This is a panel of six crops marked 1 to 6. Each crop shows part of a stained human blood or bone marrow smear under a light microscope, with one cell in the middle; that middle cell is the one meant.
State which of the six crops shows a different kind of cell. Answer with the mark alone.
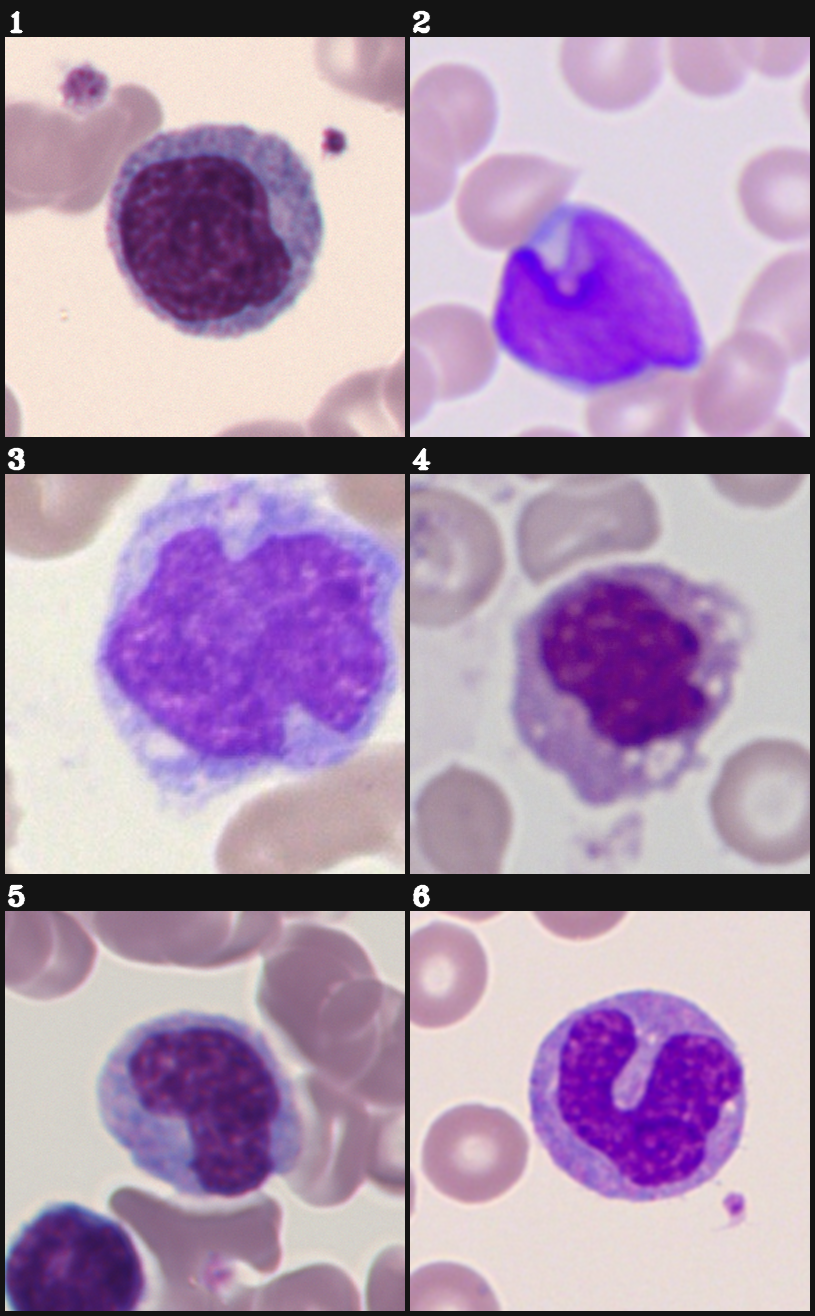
2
